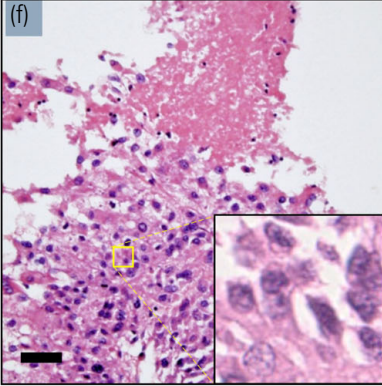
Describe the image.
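Here are viable tumor cells of the adrenal tumor lying next to pale, loose debris in the upper right. The cells have pink cytoplasm and purple nuclei that differ markedly in size and shape. In the inset some nuclei are large and irregular, with coarse dark chromatin, beside smaller ones. The cells lie loosely, with some discohesion at the edge toward the debris.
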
